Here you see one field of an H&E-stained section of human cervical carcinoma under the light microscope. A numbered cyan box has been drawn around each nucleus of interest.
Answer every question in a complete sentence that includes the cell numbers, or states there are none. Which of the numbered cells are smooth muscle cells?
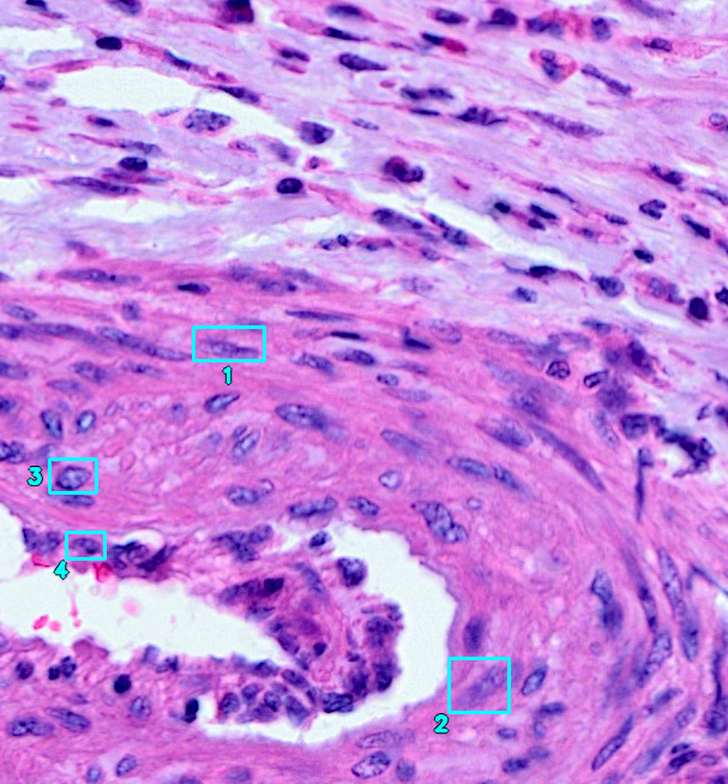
In short, the numbered cells 1, 2 and 3 are smooth muscle cells.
